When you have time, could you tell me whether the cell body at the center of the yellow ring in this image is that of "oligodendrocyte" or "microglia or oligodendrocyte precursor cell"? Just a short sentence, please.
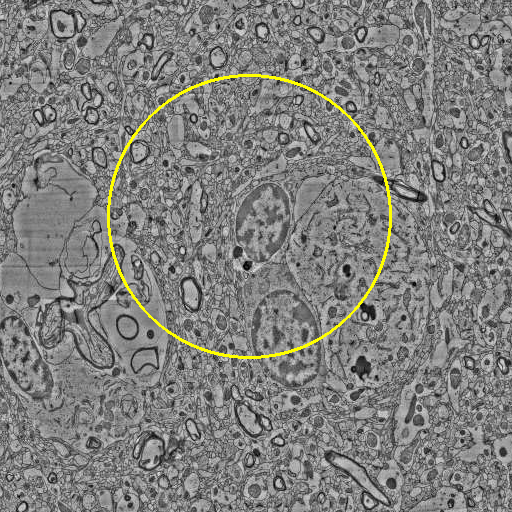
The cell body at the center of the ring is that of a microglial cell or oligodendrocyte precursor cell.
